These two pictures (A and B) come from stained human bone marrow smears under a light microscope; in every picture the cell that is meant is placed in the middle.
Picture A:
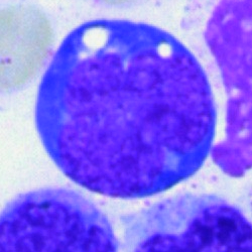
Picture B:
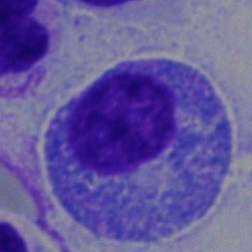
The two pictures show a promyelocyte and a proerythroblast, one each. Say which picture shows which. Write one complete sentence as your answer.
Picture A shows a proerythroblast and picture B shows a promyelocyte.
